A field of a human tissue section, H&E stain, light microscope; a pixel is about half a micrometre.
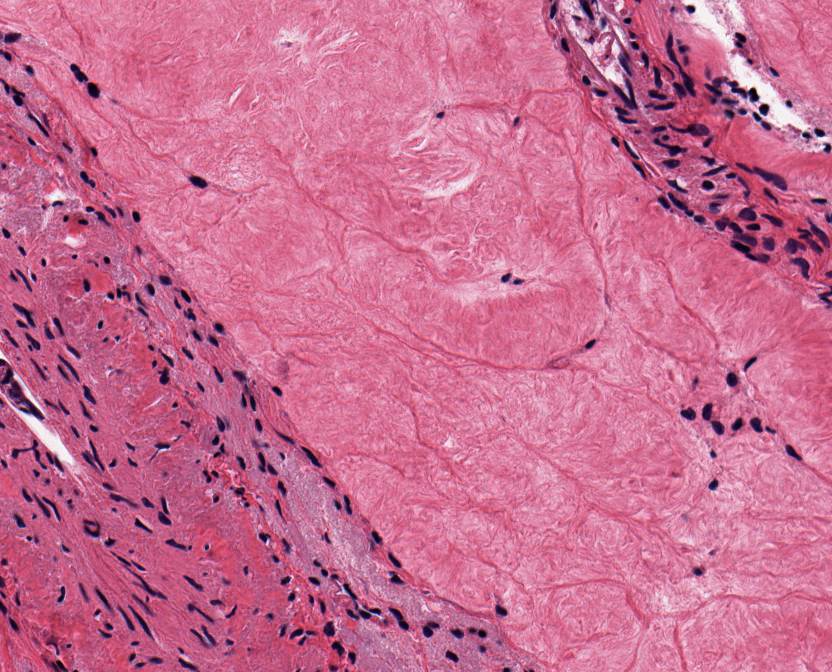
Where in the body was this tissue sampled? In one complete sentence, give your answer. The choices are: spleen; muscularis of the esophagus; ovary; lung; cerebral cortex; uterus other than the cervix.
The sample used for this section is from the ovary.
